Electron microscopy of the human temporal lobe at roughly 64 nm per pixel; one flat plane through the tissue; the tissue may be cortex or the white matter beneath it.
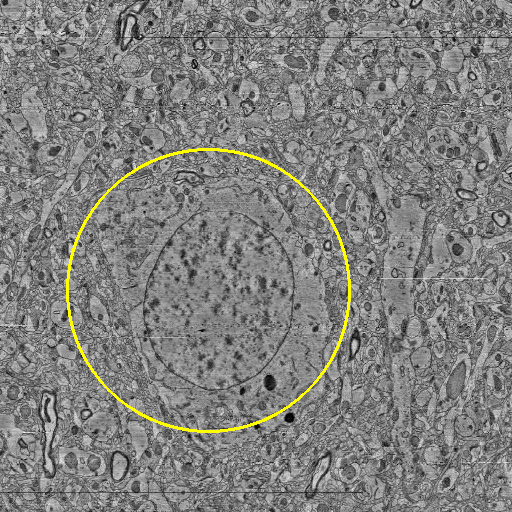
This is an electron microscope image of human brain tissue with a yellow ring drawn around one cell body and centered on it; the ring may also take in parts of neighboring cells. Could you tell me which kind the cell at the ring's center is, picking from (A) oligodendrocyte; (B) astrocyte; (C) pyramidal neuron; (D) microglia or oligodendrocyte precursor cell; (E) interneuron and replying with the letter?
C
